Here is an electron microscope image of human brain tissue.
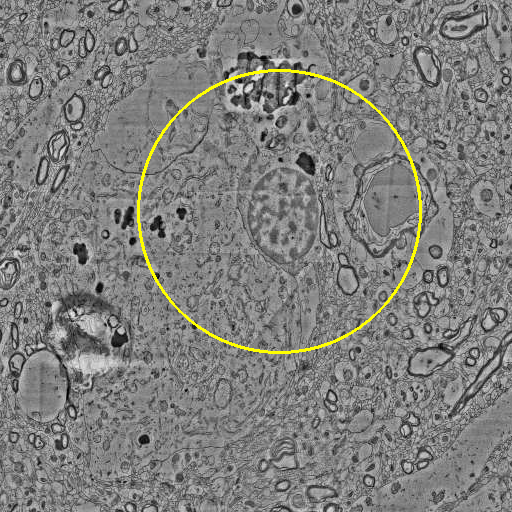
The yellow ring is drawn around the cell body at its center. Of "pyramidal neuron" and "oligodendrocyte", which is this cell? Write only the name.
oligodendrocyte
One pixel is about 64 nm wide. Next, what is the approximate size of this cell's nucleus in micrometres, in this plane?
The nucleus measures about 6 by 5 micrometres in this plane.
